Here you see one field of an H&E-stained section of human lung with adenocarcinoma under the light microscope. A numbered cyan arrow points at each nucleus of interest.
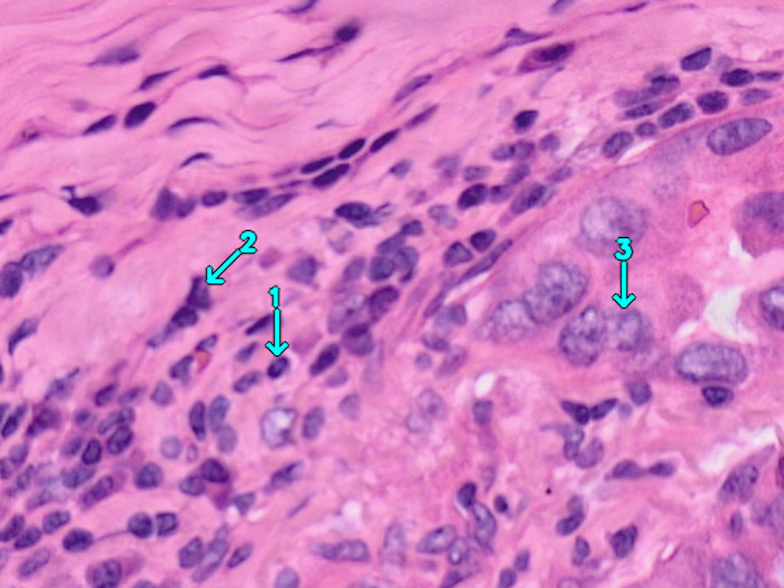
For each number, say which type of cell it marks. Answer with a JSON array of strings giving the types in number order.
["lymphocyte", "plasma cell", "carcinoma cell"]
